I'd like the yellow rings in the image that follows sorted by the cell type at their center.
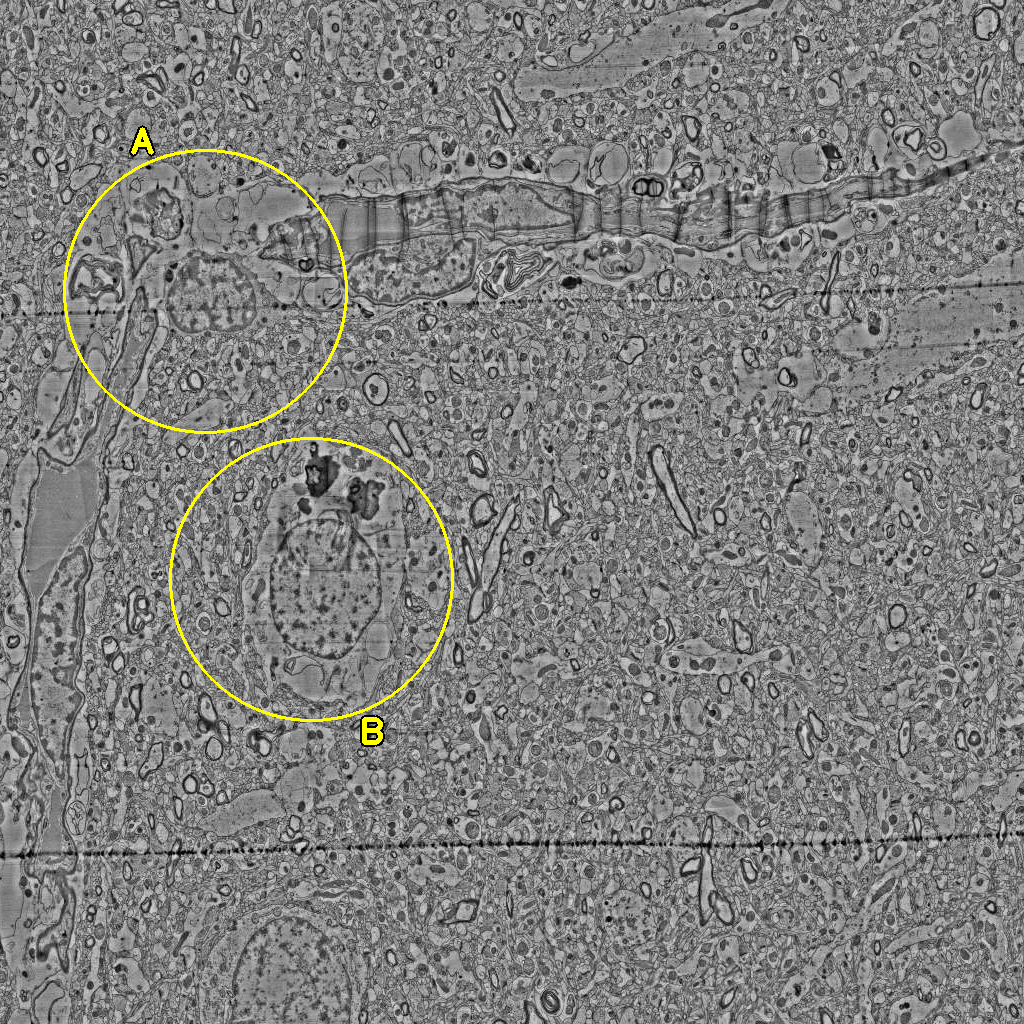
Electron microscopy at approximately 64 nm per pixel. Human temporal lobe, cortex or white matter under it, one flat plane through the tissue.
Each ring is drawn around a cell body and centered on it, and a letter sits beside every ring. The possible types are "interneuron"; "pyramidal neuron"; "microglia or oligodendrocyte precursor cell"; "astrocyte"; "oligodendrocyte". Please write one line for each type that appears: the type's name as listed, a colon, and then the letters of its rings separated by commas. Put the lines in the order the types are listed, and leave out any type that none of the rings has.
astrocyte: B
oligodendrocyte: A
